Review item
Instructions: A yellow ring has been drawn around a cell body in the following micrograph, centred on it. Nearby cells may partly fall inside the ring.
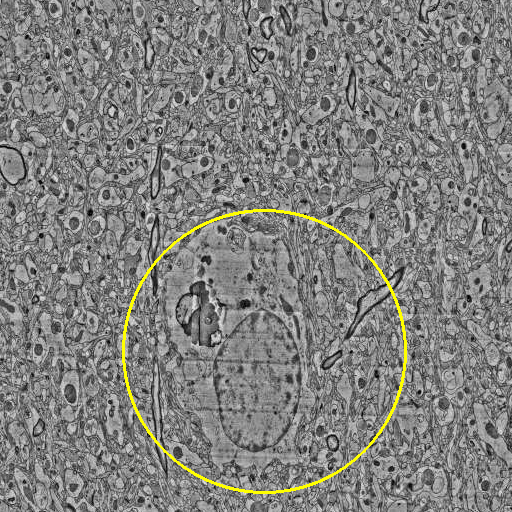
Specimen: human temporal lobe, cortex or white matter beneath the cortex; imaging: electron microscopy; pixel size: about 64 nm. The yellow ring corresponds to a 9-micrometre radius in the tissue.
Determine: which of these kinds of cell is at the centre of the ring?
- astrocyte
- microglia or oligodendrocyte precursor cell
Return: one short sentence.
The cell body in the middle of the ring is that of an astrocyte.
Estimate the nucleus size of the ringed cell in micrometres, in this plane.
In this plane the nucleus measures roughly 9 by 6 micrometers.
